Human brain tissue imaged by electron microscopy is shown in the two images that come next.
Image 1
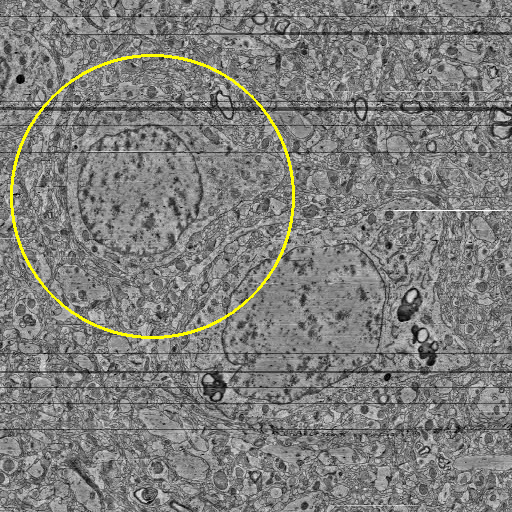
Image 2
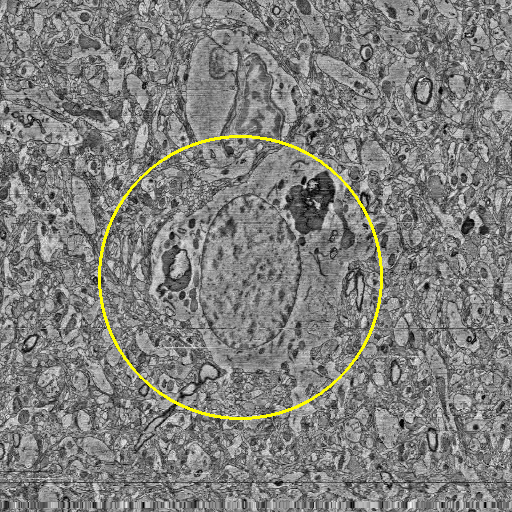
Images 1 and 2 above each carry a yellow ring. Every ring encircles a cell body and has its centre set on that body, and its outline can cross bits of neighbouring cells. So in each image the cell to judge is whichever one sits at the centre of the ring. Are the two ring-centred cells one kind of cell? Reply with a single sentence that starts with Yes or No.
No, in Image 1 and Image 2 the cells at the centres of their rings fall into two types.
